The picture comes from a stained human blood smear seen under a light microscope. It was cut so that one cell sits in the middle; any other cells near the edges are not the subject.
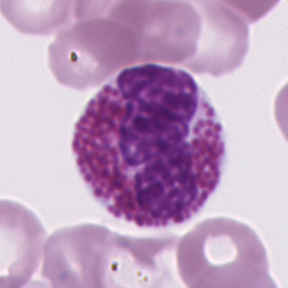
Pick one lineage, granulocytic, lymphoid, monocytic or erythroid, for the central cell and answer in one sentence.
The middle cell is a constituent of the granulocytic lineage.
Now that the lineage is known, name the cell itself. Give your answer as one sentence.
Framed in the middle of the crop is an eosinophil.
